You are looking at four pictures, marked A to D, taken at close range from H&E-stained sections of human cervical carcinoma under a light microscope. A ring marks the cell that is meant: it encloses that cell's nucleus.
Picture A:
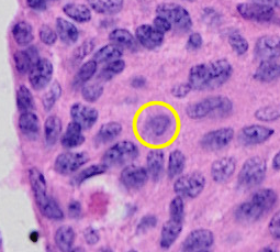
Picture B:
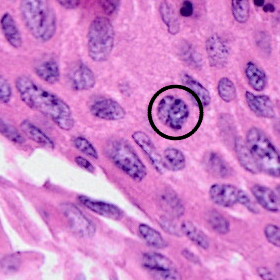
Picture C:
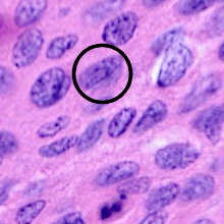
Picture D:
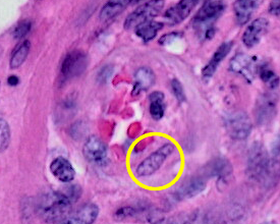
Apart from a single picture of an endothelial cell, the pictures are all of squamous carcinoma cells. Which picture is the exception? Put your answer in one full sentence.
Picture D is the one that shows the endothelial cell.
